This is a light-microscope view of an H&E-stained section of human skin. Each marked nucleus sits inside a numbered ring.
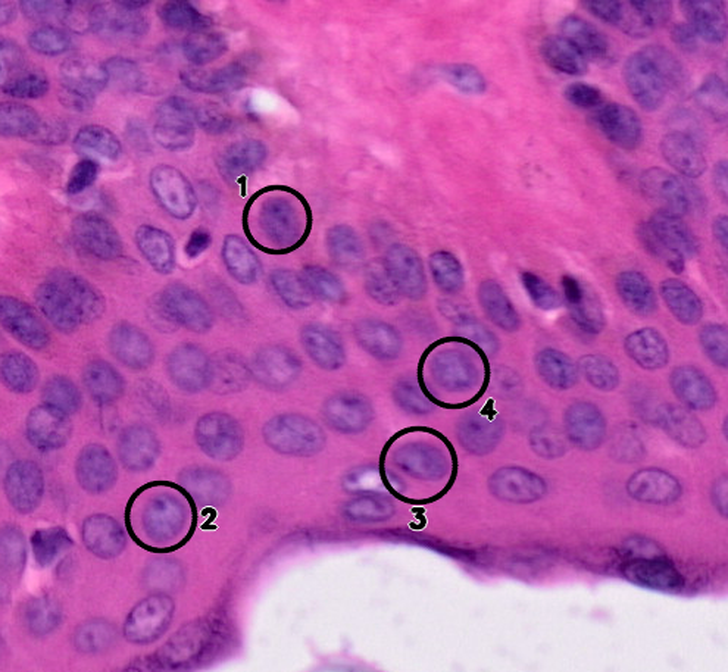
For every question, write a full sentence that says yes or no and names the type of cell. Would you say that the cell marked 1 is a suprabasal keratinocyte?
No, cell 1 has been misnamed; it is a basal keratinocyte, not a suprabasal keratinocyte.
